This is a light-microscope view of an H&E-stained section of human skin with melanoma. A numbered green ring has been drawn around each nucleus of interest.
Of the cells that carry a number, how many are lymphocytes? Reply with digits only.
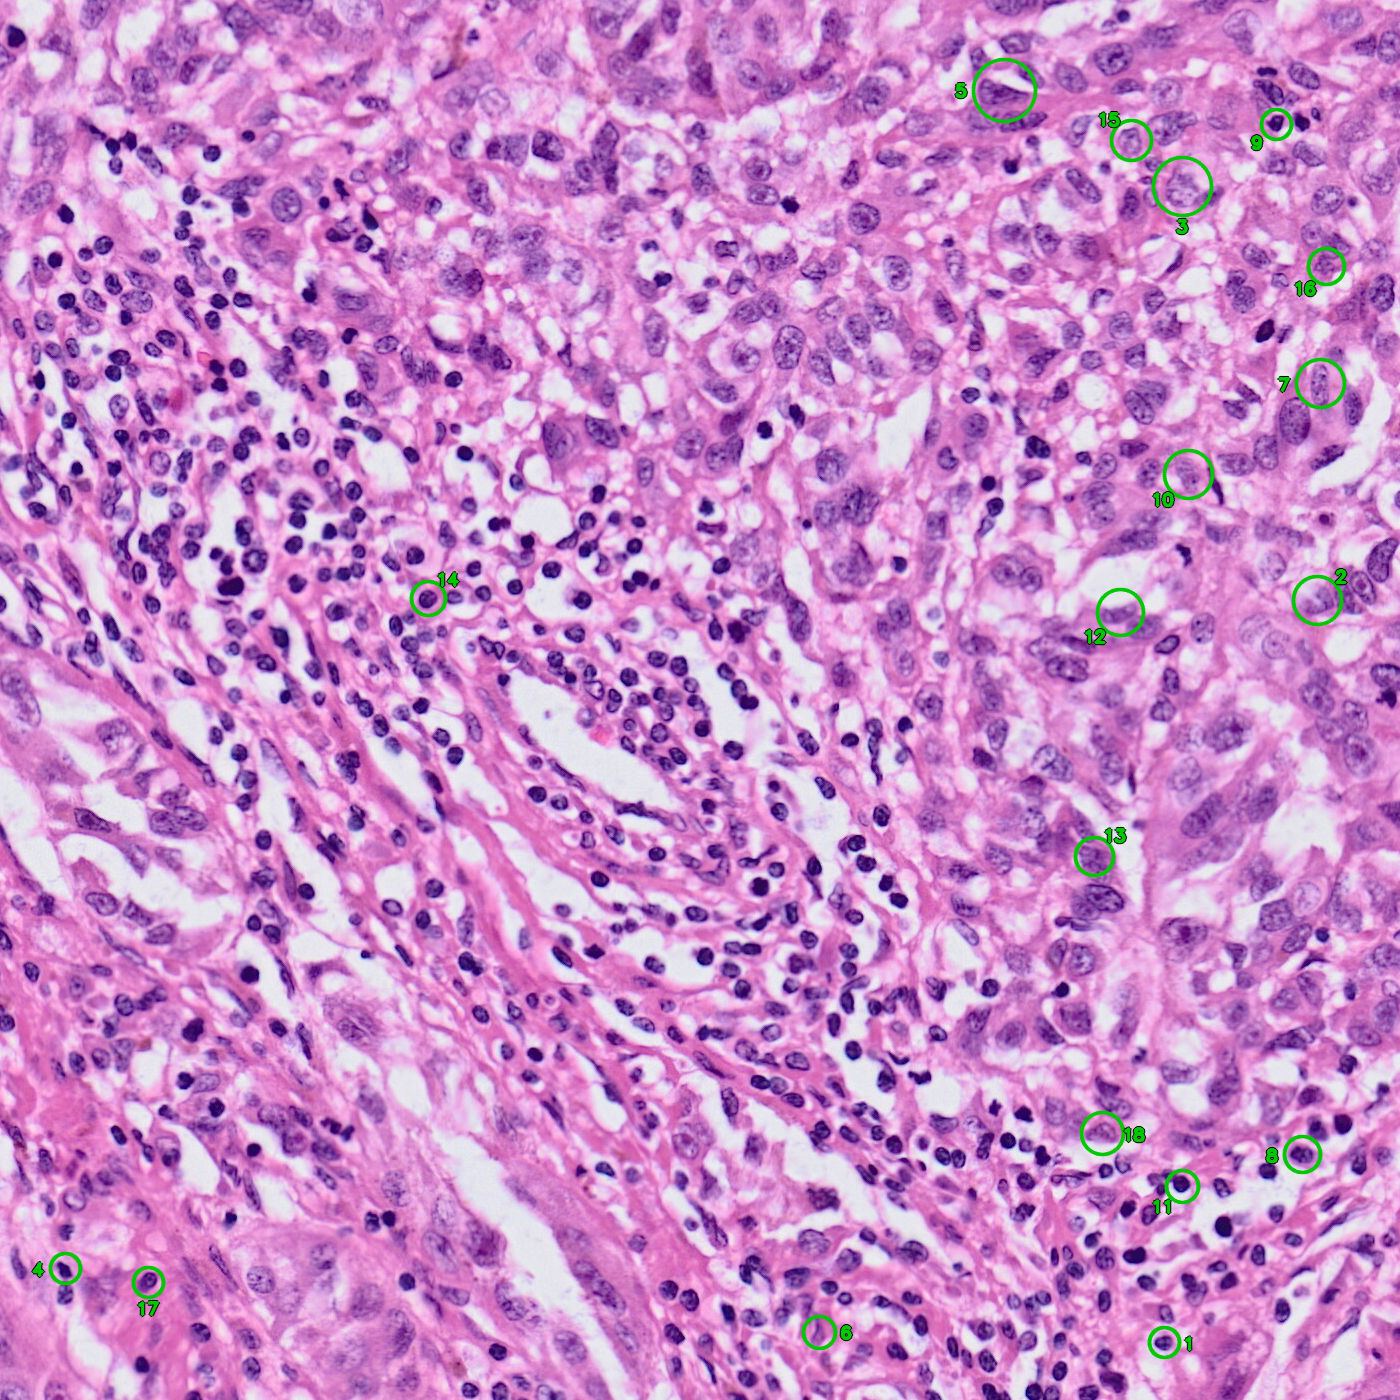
6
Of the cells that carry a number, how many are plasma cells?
1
